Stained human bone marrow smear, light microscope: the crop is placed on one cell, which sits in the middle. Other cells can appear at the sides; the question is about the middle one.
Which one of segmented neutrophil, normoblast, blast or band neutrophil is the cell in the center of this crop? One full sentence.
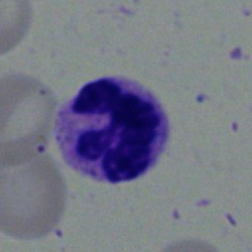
The central cell shown in this smear crop is a segmented neutrophil.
